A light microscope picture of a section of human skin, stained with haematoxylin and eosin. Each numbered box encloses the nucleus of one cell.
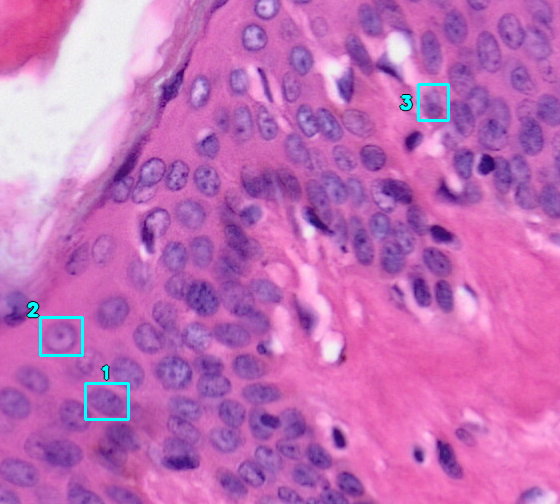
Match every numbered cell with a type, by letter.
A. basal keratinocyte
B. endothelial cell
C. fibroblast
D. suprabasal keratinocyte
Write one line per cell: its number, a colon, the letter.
1: D
2: D
3: A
